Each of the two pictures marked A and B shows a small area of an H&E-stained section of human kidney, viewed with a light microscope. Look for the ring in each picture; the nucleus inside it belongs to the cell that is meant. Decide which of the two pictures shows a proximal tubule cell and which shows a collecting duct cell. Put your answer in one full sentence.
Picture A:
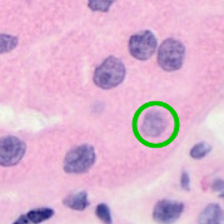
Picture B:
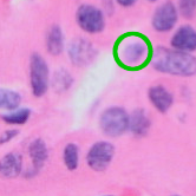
In picture A the cell is a proximal tubule cell; in picture B, a collecting duct cell.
